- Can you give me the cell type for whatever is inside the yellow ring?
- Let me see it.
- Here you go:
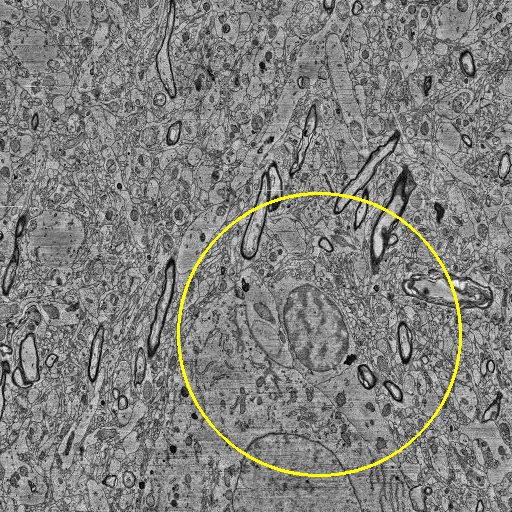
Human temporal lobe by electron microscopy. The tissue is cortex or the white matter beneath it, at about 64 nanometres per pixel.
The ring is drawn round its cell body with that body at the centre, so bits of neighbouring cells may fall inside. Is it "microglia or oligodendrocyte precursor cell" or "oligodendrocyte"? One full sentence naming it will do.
The cell body in the middle of the ring in this picture belongs to an oligodendrocyte.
